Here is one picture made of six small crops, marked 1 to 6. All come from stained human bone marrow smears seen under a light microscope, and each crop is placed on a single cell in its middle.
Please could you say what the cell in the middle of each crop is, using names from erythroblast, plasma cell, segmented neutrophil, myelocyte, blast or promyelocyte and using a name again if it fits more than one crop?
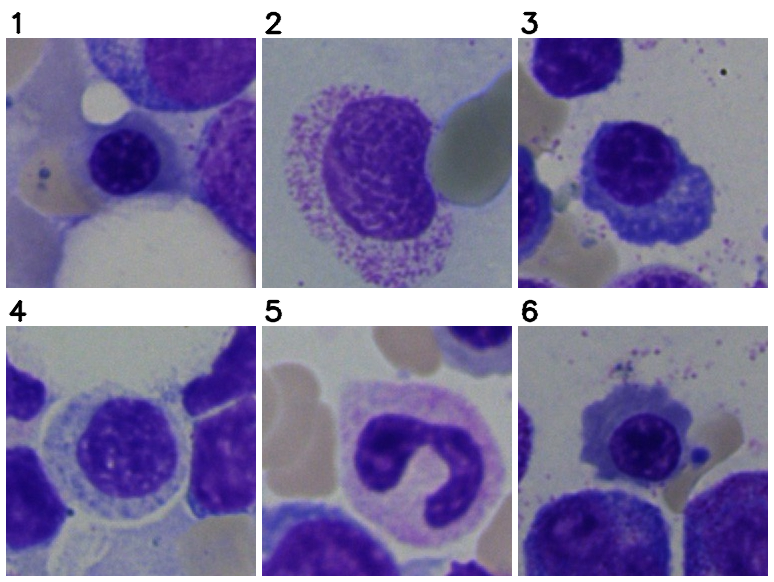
1: erythroblast
2: myelocyte
3: plasma cell
4: myelocyte
5: segmented neutrophil
6: erythroblast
